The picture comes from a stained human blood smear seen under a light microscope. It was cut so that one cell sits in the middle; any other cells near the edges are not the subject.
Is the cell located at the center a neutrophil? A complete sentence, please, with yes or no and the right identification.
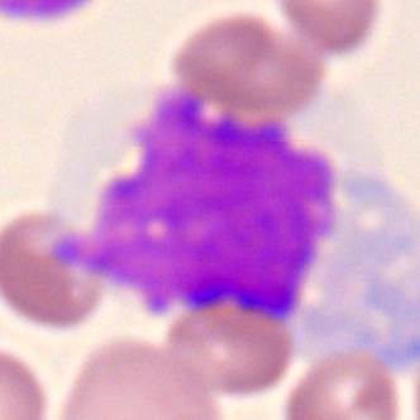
No, the central cell is not a neutrophil; it is a monocyte instead.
